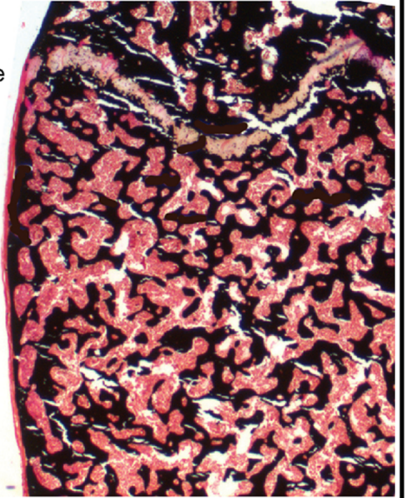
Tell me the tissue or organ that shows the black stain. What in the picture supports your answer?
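Black material forms a dense branching network through most of the section. Pink-red marrow fills only the spaces between the black network.
Calcified bone.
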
